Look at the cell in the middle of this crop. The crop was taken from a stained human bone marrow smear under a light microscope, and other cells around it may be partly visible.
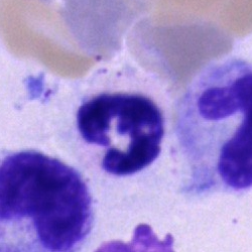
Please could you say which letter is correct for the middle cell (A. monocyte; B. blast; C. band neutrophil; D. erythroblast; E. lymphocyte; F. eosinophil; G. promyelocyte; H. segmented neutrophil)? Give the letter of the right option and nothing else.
H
